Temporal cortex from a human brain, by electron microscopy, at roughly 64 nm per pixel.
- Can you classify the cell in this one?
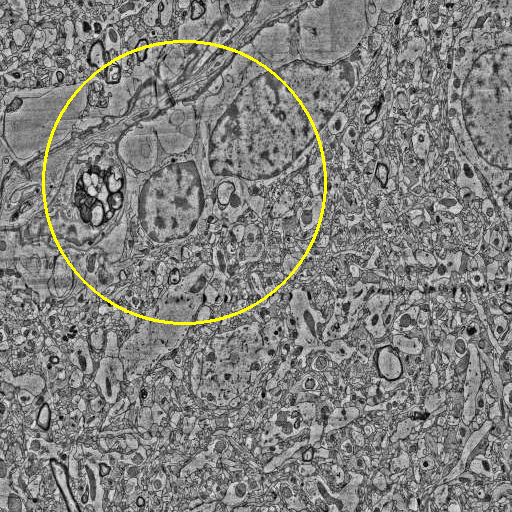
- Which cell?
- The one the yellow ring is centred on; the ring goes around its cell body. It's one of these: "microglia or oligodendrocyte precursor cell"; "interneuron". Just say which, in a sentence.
The cell body in the ring belongs to a microglial cell or oligodendrocyte precursor cell.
